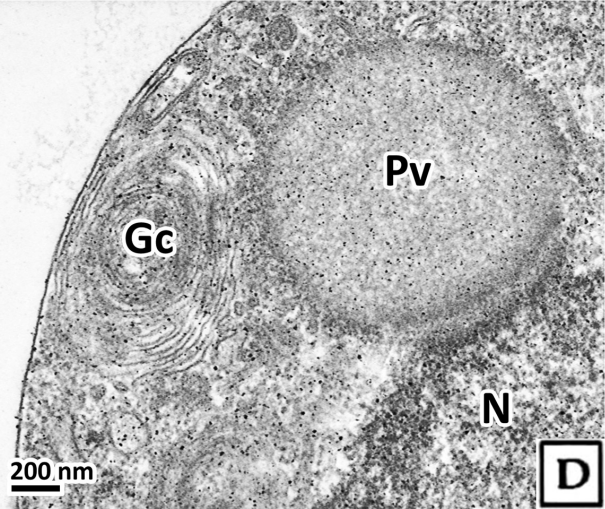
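This higher magnification shows the apical part of an early spermatid. A large round proacrosomal vesicle with pale, finely granular content and a darker granular rim dominates the centre. Beside it, near the thin plasma membrane at the left, the Golgi complex forms a prominent whorl of many concentric, closely spaced membrane cisternae with small vesicles among them. Below the vesicle the nucleus shows dense, clumped granular chromatin, and the vesicle sits directly on the nuclear surface. The surrounding cytoplasm is granular with many small dense particles and a few small membrane profiles.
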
